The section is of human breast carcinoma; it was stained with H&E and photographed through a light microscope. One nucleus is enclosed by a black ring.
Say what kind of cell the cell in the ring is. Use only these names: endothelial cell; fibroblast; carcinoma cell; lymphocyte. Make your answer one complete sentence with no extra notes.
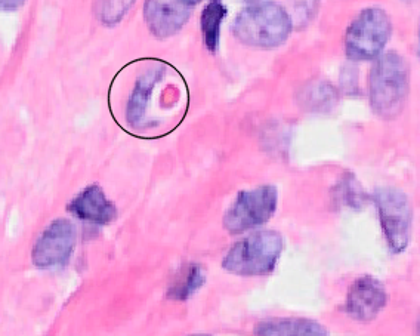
In cellular terms, the cell in the ring is an endothelial cell.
